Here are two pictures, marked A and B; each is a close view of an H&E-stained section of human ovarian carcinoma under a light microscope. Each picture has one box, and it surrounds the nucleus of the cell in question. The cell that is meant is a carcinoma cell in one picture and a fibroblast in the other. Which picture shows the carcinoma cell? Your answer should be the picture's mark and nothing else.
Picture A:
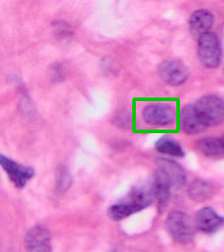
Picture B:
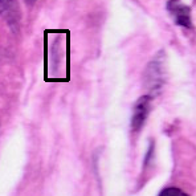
A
